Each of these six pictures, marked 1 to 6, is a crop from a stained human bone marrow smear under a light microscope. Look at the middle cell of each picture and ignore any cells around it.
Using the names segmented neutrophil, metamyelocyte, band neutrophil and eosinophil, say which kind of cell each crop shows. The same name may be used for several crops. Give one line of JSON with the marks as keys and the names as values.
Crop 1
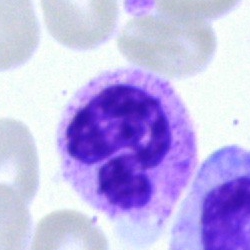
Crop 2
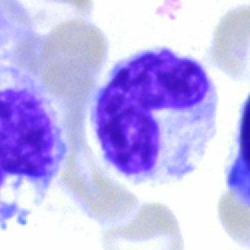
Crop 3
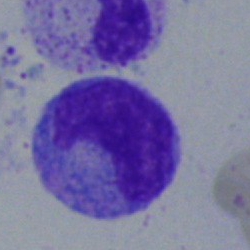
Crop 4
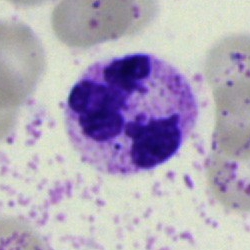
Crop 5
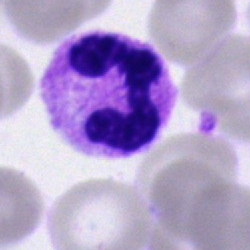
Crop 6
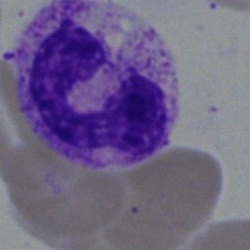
{"1": "segmented neutrophil", "2": "band neutrophil", "3": "metamyelocyte", "4": "segmented neutrophil", "5": "segmented neutrophil", "6": "band neutrophil"}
